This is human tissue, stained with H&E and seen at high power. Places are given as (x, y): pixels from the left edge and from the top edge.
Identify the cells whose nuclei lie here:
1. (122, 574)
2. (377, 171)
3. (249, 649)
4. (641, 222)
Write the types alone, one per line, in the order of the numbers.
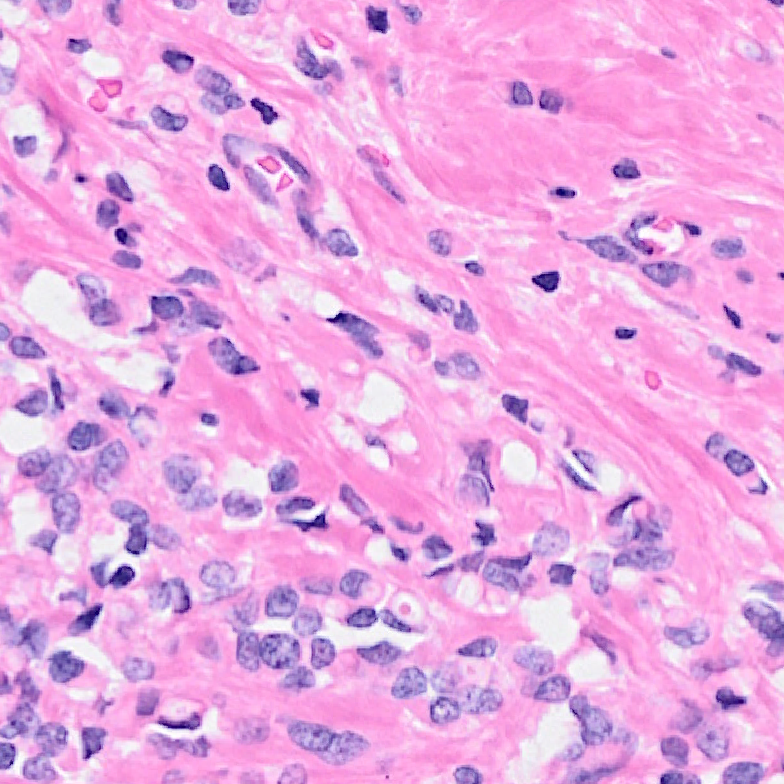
lymphocyte
fibroblast
carcinoma cell
endothelial cell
